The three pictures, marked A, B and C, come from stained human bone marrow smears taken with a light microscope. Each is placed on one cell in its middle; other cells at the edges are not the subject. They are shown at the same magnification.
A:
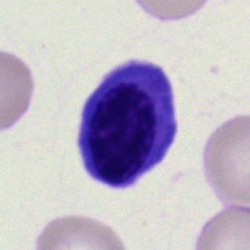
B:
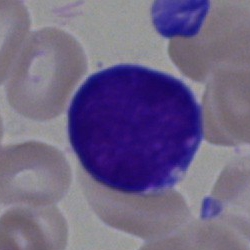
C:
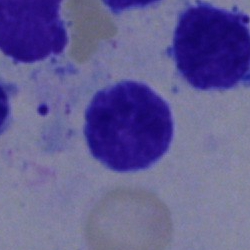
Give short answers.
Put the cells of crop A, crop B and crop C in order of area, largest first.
B, A, C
